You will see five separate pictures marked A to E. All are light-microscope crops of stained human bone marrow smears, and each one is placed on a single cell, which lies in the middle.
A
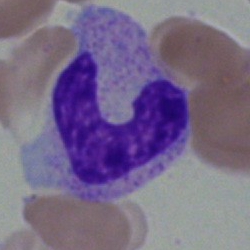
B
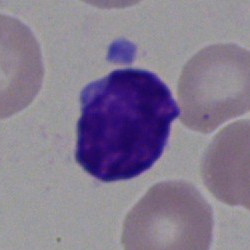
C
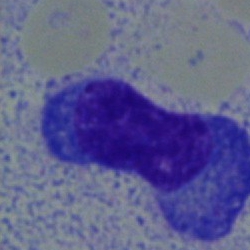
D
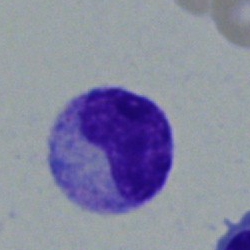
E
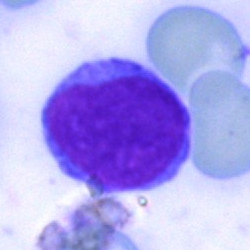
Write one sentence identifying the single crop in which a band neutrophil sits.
It is the cell in crop A that is a band neutrophil.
